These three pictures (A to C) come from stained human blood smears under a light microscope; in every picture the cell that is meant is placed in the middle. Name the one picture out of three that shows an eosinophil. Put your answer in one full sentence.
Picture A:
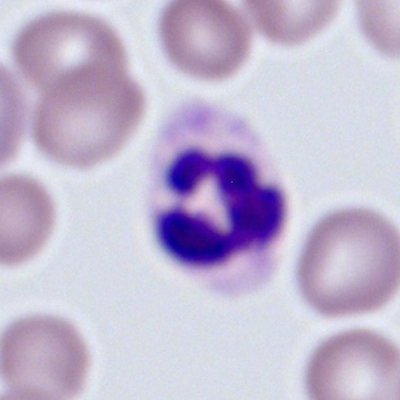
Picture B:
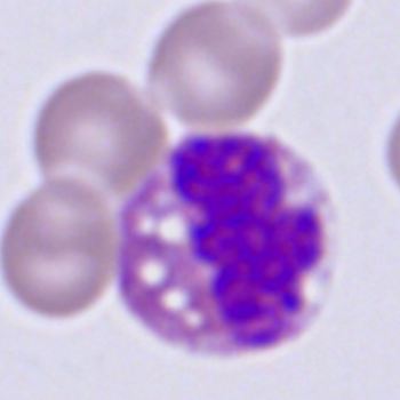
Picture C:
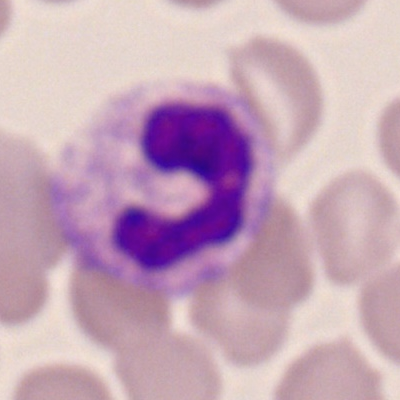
Picture B shows the eosinophil.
